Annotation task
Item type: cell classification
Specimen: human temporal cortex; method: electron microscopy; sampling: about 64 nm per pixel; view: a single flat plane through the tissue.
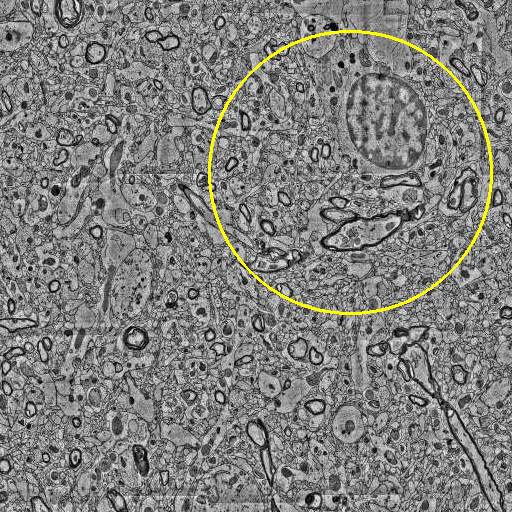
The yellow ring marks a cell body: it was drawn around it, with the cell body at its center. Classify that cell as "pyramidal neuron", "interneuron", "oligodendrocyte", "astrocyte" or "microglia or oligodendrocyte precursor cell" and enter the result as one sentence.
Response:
The ring's center falls on an oligodendrocyte.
